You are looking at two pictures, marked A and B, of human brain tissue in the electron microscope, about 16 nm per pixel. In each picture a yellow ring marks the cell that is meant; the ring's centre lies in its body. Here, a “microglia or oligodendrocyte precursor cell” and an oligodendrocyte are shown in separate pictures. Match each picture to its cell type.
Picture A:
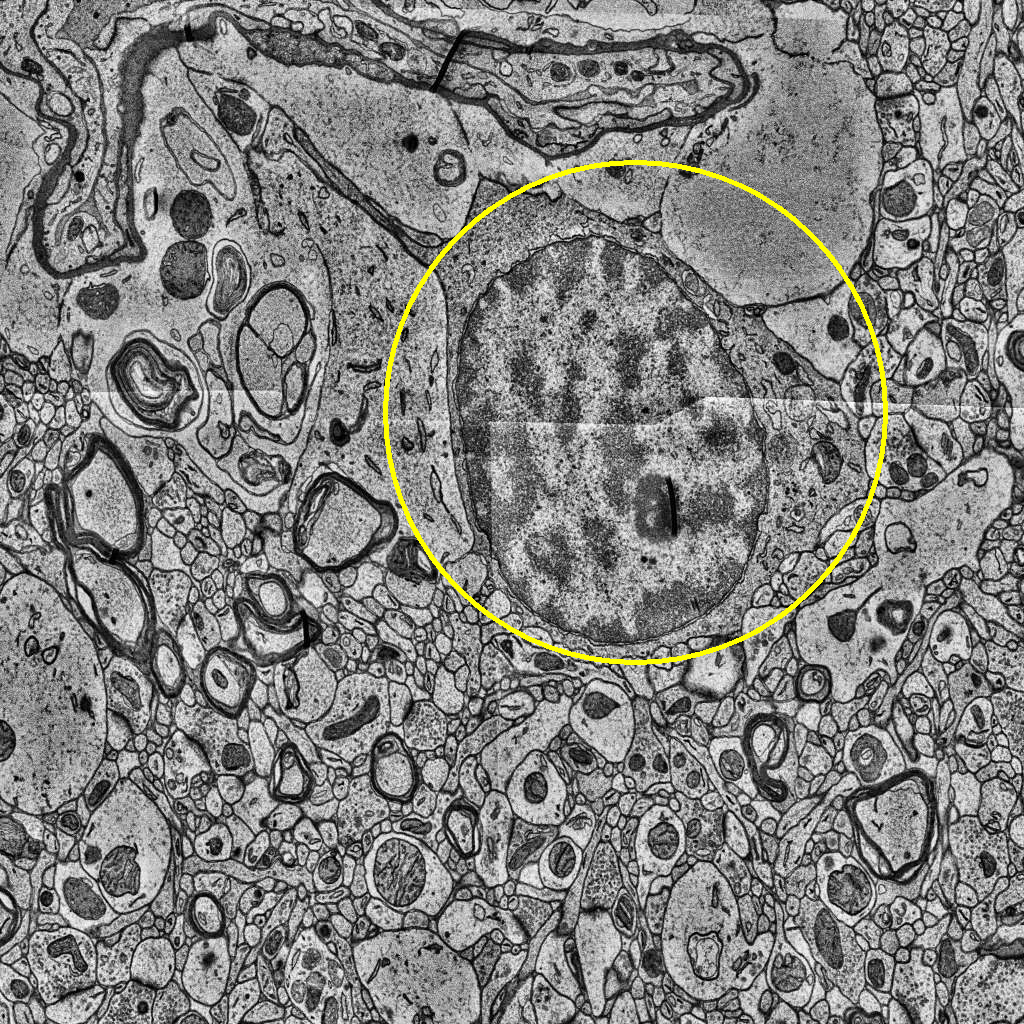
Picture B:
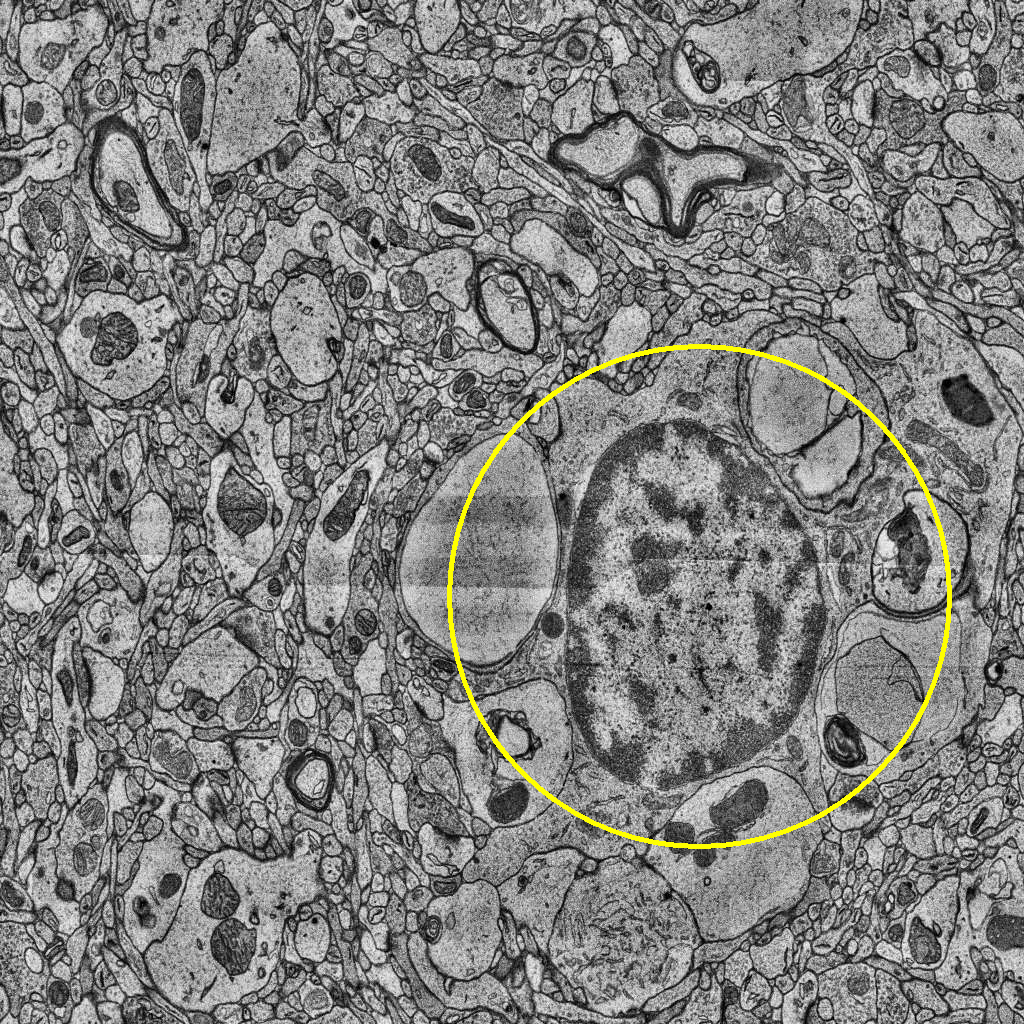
It is picture A that shows an oligodendrocyte, and picture B that shows a “microglia or oligodendrocyte precursor cell”.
